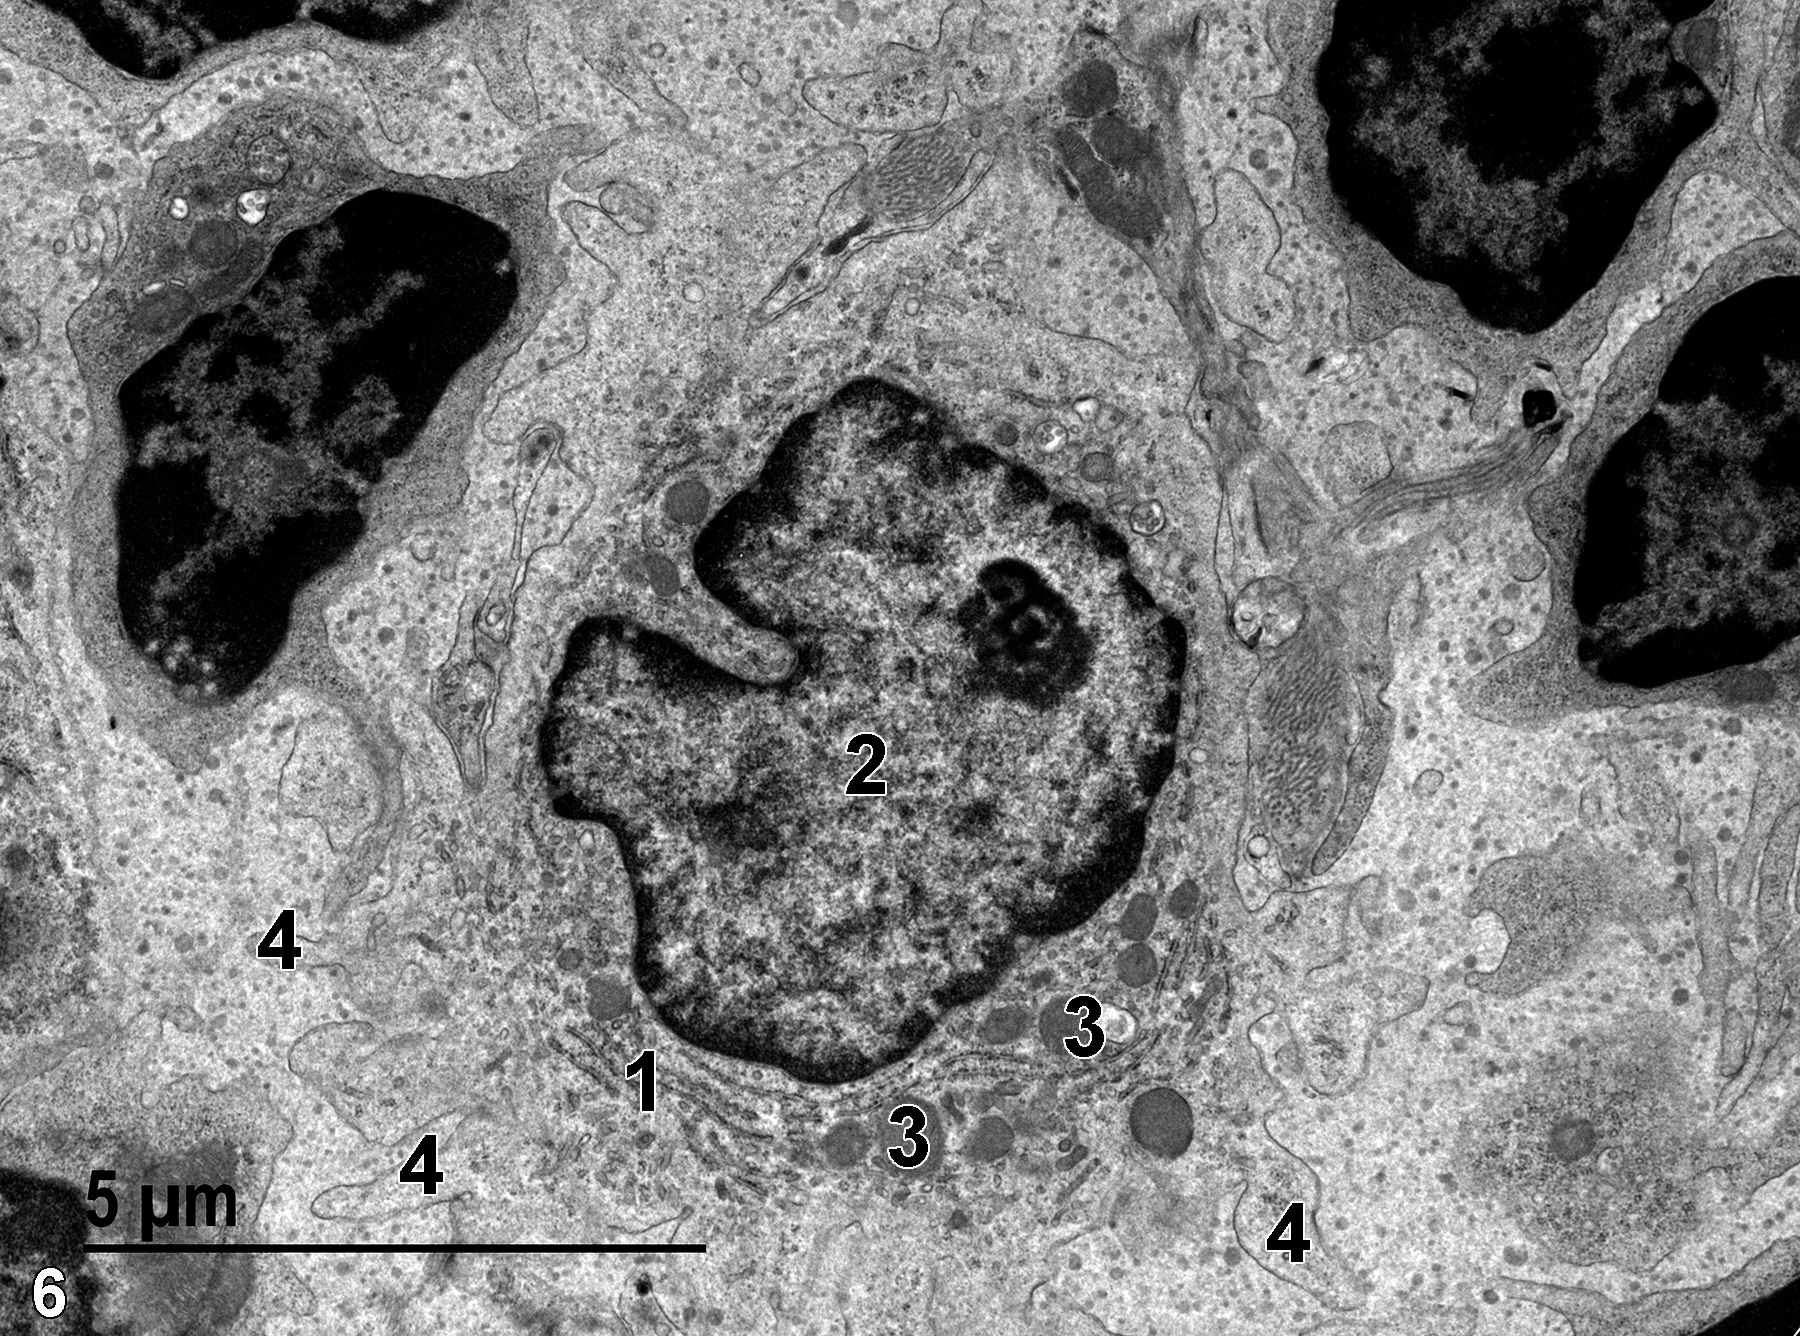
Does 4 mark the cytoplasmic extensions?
Yes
